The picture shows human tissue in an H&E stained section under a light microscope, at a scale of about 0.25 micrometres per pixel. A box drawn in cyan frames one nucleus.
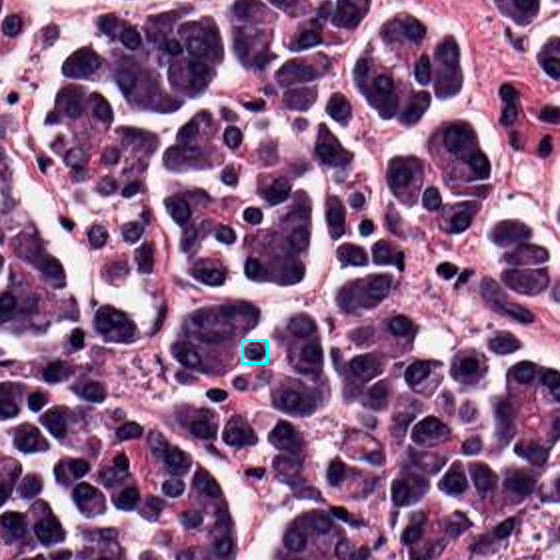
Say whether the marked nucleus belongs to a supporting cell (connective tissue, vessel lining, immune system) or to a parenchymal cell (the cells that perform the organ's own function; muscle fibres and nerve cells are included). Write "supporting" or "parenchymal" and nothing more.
supporting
